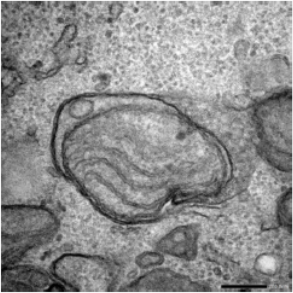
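A thin, separate membrane follows its outline closely and encloses it. Finely granular cytoplasm surrounds this structure, and a few smaller membrane-bound profiles lie at the edges of the field.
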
